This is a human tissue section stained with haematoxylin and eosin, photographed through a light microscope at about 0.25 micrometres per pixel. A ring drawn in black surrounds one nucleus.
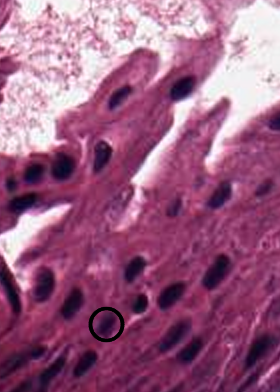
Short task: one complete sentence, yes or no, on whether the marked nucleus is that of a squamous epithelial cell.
Yes, the cell that houses the marked nucleus is a squamous epithelial cell.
